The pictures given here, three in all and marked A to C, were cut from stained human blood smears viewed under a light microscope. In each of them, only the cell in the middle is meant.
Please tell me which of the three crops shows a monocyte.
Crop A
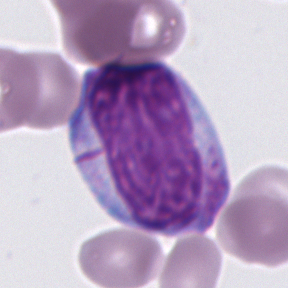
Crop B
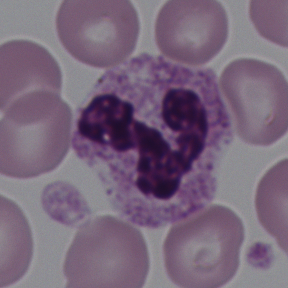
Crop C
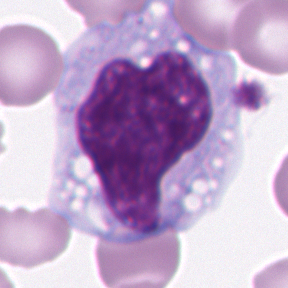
C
